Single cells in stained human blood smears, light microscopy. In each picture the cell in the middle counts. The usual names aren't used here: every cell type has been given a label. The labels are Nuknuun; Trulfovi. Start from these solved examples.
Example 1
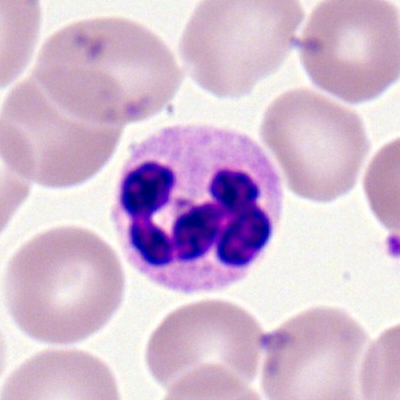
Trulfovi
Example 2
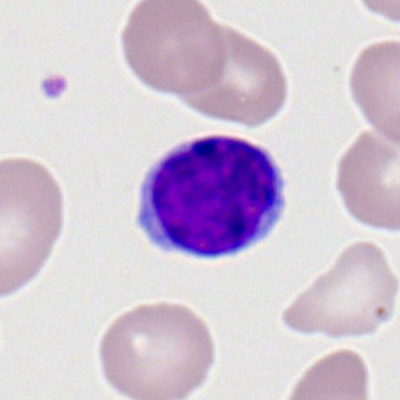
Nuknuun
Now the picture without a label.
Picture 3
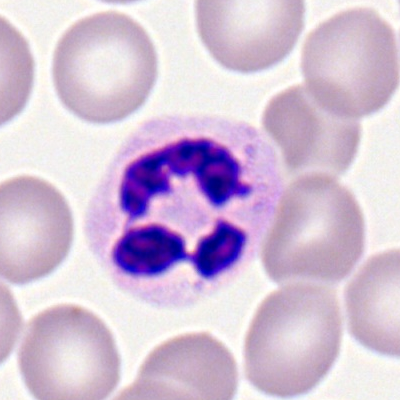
Trulfovi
